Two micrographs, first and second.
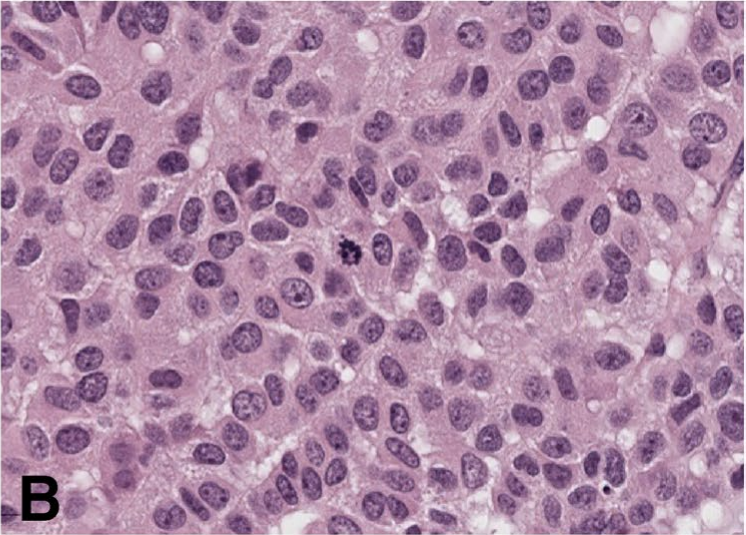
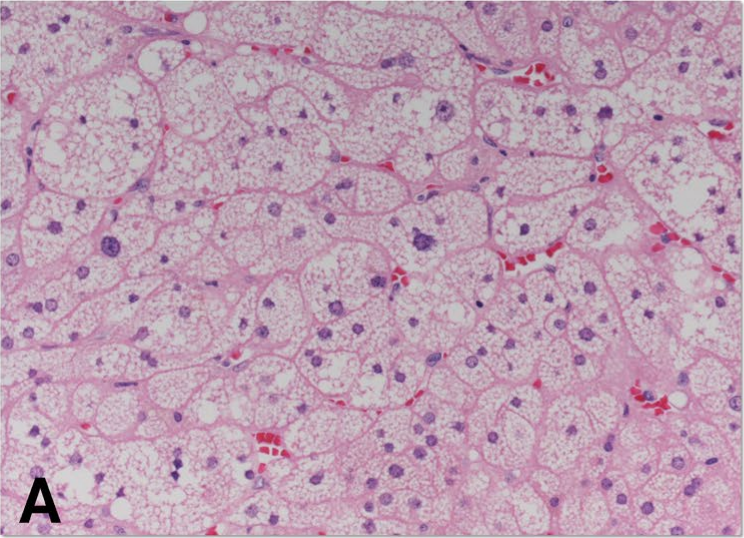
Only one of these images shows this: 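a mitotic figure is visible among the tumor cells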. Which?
the first image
